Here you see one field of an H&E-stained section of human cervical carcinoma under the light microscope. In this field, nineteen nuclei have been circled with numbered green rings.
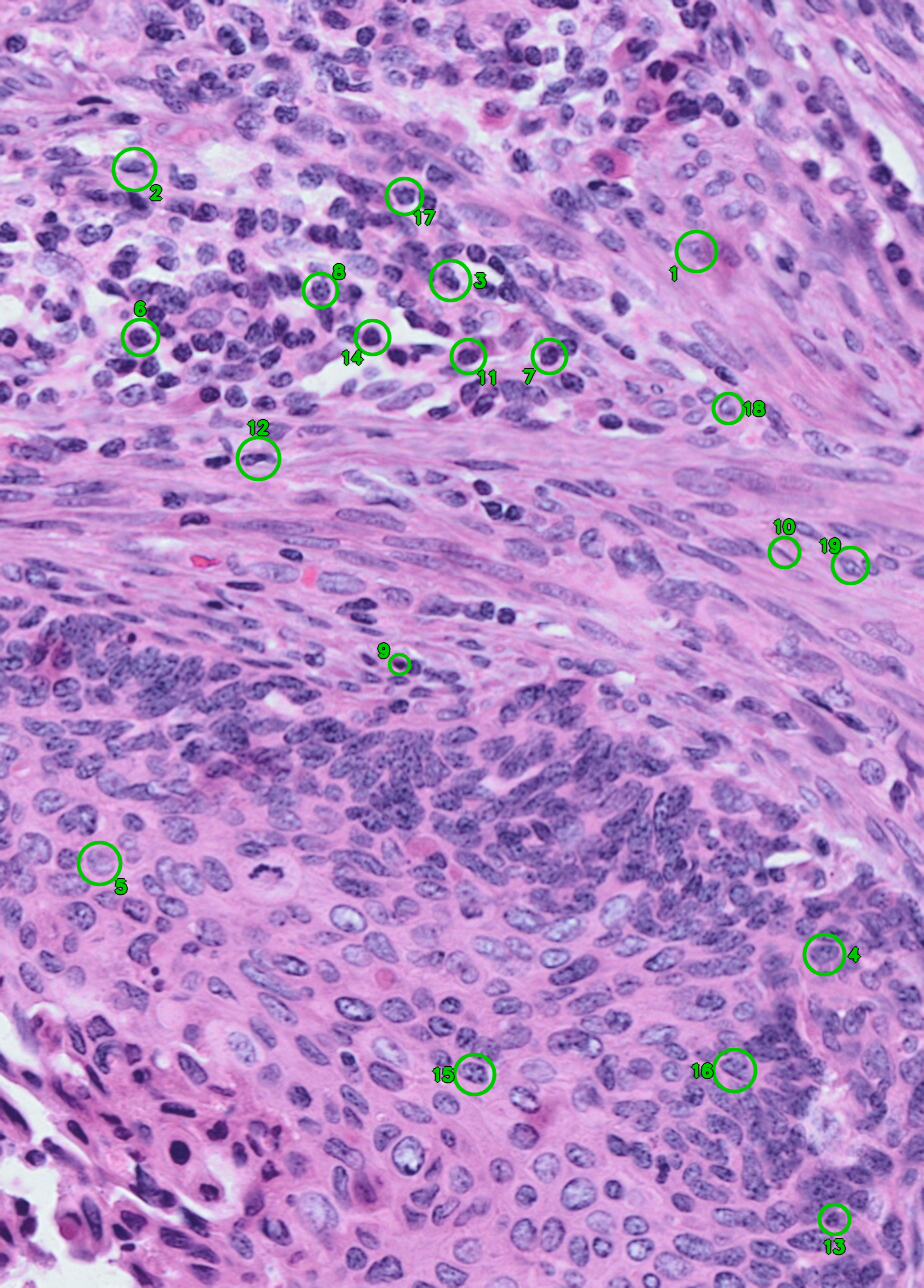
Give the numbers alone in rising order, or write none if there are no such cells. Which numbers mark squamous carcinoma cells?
4, 5, 13, 15, 16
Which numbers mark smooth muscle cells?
1, 10, 18, 19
